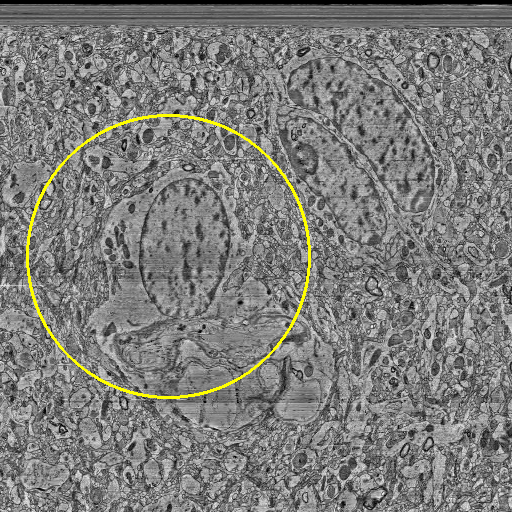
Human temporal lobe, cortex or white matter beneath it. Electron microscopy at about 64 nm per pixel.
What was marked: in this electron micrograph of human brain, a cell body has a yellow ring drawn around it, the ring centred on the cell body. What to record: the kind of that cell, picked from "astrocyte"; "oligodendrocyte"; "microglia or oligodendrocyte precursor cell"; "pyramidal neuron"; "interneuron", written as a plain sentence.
The centred cell is an astrocyte.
